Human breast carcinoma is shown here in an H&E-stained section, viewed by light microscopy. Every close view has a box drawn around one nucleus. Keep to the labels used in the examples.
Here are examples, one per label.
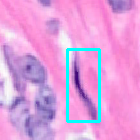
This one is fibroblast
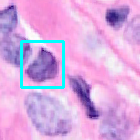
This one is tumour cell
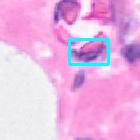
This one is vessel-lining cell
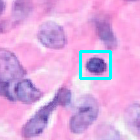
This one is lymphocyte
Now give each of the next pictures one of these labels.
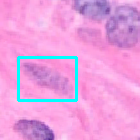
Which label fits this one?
fibroblast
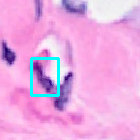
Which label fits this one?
vessel-lining cell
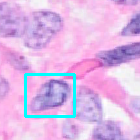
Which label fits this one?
vessel-lining cell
